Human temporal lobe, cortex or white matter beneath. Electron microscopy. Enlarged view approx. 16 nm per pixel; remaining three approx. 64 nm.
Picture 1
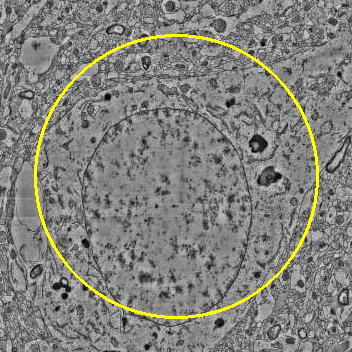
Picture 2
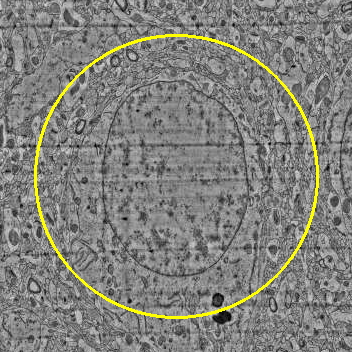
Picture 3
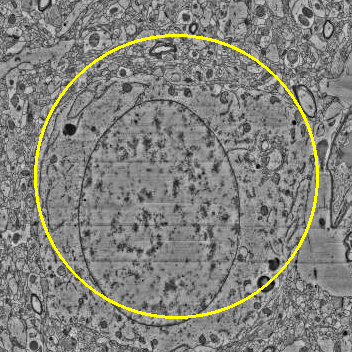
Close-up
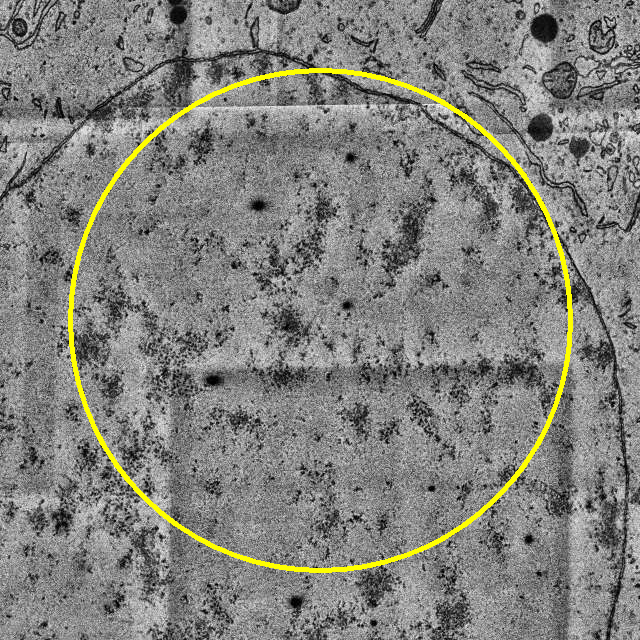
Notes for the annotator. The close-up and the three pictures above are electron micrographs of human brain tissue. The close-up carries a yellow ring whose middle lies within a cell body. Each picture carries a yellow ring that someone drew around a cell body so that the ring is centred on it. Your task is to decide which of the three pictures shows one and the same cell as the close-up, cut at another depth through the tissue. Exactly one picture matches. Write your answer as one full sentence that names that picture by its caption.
The cell displayed in the close-up is circled in Picture 1.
